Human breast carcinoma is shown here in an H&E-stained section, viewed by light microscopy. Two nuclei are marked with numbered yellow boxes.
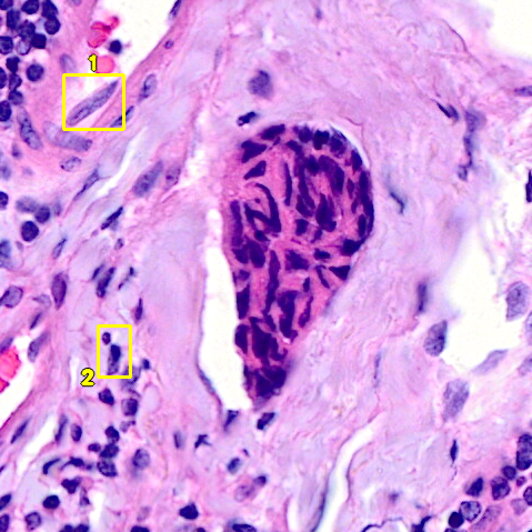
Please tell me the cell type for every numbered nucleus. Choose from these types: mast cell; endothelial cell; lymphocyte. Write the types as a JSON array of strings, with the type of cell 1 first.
["endothelial cell", "lymphocyte"]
